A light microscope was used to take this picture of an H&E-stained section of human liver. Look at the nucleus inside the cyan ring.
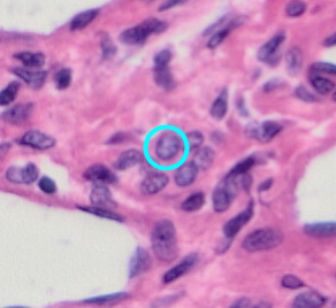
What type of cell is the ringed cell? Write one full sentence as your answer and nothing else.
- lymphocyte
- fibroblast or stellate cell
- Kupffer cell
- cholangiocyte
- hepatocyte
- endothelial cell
In this field of tissue, the ringed cell is a cholangiocyte.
